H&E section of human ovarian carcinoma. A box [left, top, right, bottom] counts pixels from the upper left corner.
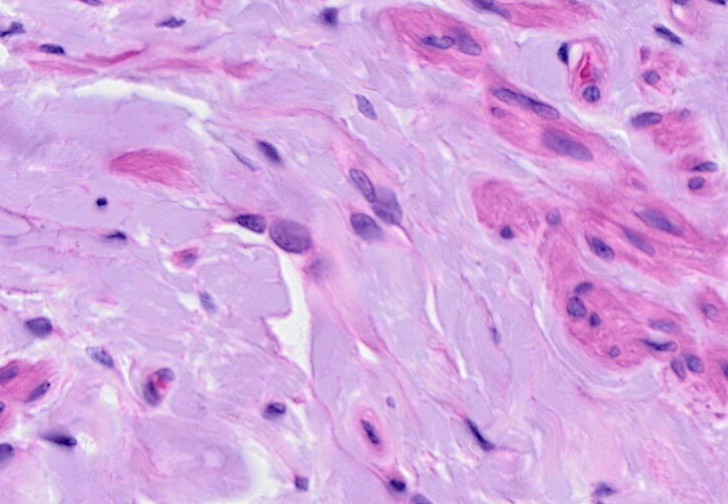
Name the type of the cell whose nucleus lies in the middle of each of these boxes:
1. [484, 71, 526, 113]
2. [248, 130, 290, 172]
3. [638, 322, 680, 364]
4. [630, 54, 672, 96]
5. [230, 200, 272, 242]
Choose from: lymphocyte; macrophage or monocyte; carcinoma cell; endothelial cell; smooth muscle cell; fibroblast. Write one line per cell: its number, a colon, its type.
1: smooth muscle cell
2: fibroblast
3: smooth muscle cell
4: smooth muscle cell
5: endothelial cell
